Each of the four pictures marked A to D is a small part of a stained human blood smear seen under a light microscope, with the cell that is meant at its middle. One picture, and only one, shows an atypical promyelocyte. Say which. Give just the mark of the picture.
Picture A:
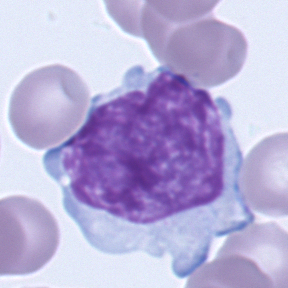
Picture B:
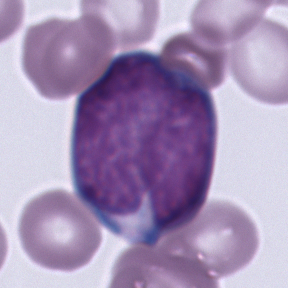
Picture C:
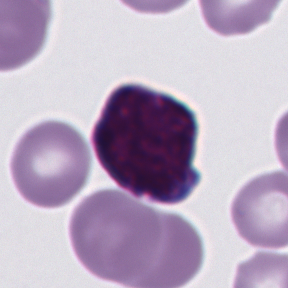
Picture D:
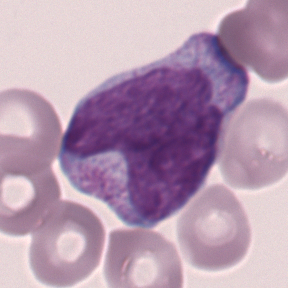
D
